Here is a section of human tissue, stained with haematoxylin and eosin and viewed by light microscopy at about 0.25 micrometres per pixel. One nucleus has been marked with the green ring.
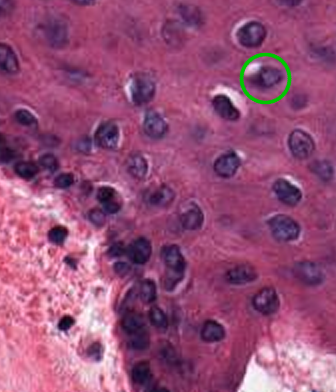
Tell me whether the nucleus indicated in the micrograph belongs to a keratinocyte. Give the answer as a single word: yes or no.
yes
